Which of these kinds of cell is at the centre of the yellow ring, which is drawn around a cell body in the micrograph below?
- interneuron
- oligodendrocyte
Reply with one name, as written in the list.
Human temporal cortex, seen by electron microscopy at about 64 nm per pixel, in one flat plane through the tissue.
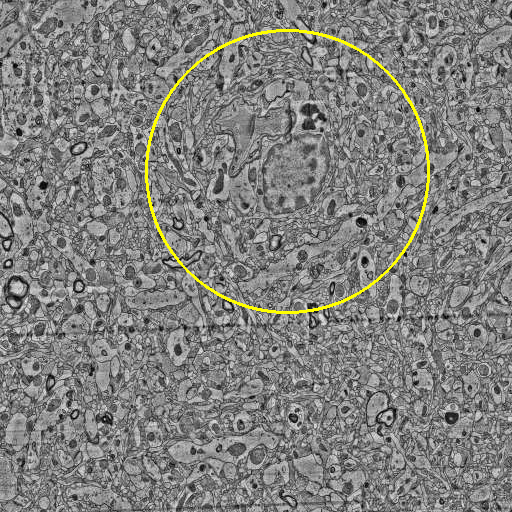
oligodendrocyte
